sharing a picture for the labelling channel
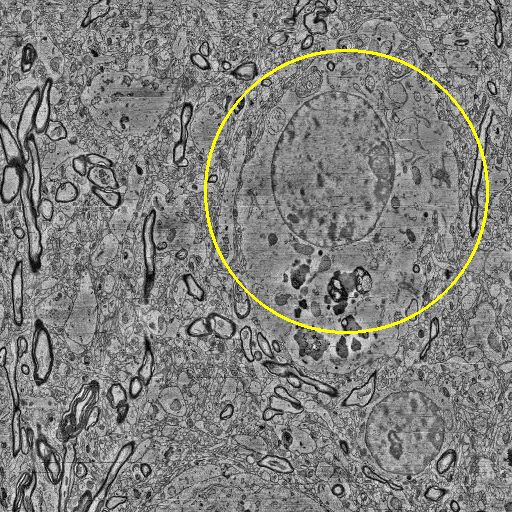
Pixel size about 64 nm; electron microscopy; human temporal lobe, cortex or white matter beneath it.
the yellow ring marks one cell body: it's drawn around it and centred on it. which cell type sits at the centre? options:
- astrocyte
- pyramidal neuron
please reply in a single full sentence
In the picture, the cell at the ring's centre is an astrocyte, going by the list.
